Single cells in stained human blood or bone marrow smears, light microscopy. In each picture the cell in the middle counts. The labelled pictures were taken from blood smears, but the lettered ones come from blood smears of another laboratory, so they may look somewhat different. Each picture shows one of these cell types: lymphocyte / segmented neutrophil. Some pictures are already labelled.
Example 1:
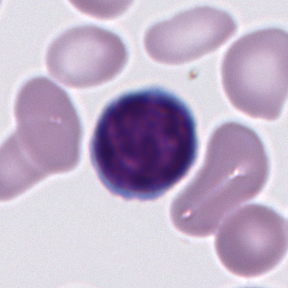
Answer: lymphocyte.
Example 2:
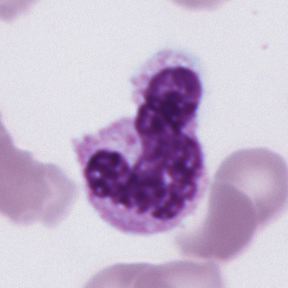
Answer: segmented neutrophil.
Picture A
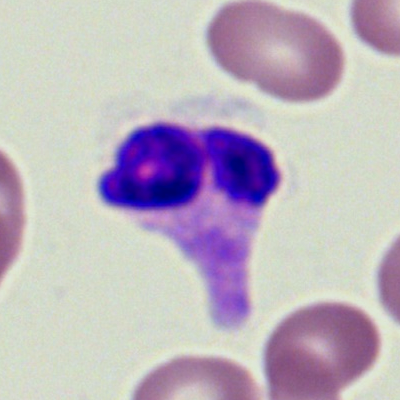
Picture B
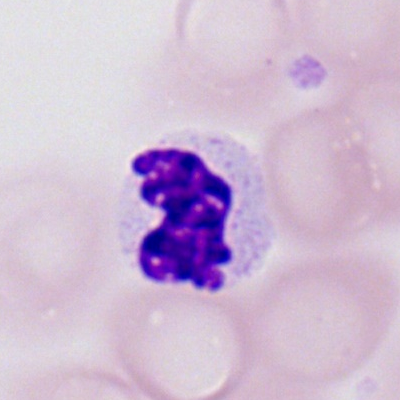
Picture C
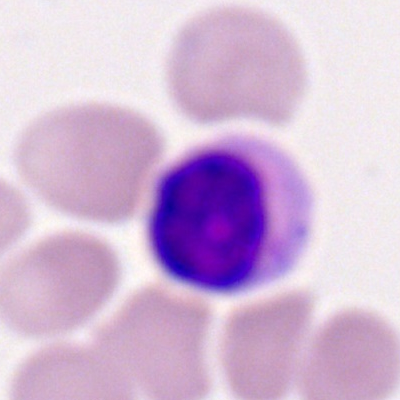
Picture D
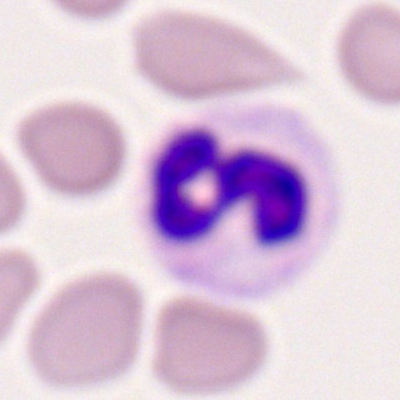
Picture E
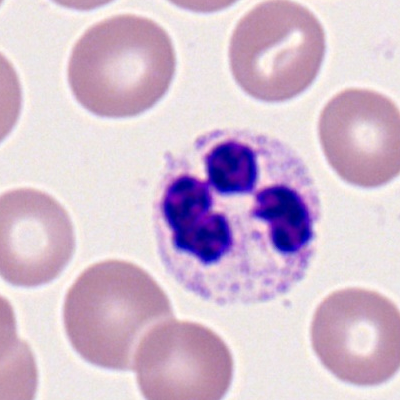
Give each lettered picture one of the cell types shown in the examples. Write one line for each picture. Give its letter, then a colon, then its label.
A: segmented neutrophil.
B: segmented neutrophil.
C: lymphocyte.
D: segmented neutrophil.
E: segmented neutrophil.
